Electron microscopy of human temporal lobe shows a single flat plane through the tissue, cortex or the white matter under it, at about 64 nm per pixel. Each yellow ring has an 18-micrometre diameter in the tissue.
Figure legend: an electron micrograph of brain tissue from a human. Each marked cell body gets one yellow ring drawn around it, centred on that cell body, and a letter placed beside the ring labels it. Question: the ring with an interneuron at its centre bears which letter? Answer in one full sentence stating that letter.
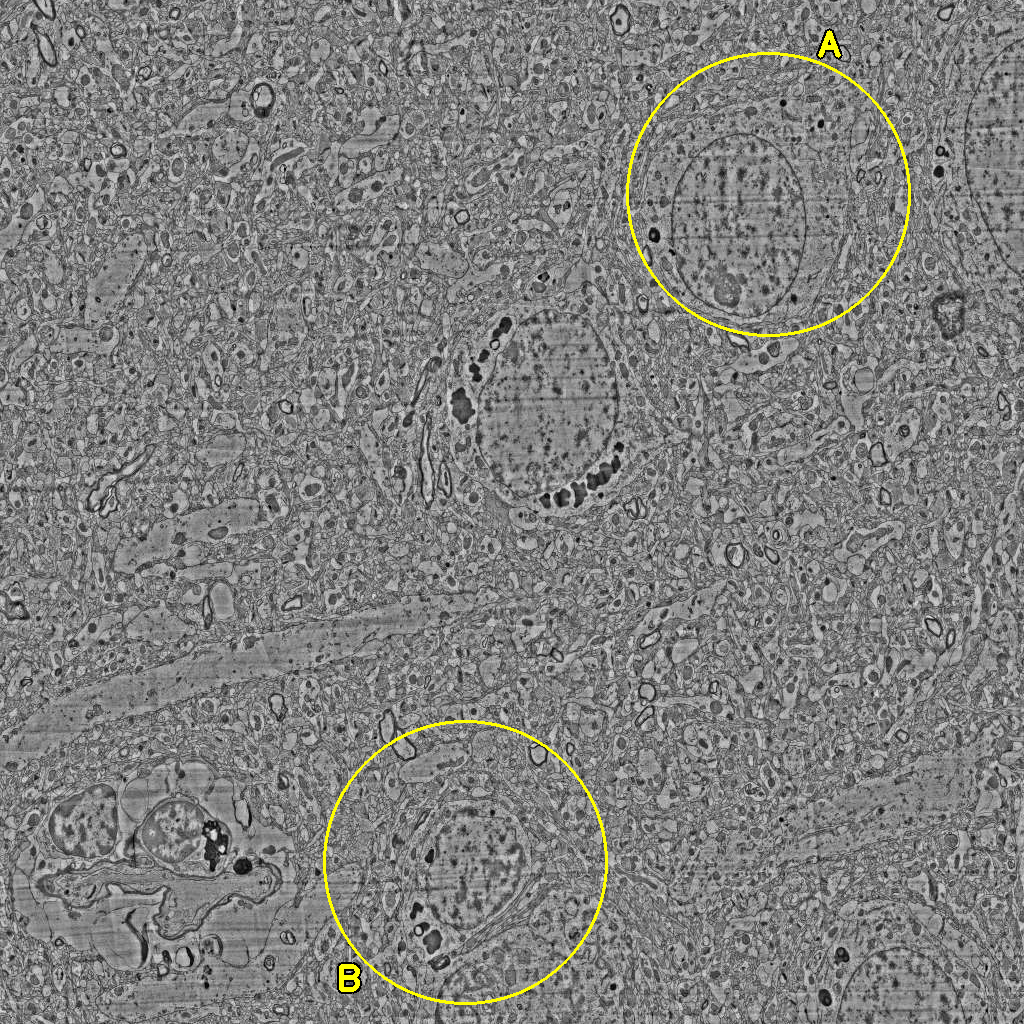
Labelled B is the ring whose centre holds the cell asked for in this picture.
